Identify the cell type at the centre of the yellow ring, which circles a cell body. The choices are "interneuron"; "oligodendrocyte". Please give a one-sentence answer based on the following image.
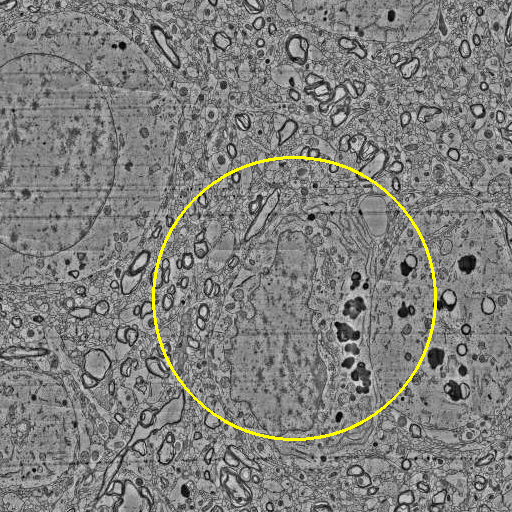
The cell marked by the ring is an interneuron.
